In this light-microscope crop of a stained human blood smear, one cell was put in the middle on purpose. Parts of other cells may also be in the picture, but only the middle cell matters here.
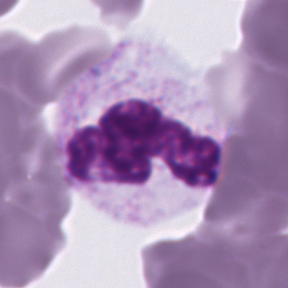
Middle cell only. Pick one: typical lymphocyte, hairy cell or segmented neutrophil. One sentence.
Here the cell in the middle is a segmented neutrophil.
